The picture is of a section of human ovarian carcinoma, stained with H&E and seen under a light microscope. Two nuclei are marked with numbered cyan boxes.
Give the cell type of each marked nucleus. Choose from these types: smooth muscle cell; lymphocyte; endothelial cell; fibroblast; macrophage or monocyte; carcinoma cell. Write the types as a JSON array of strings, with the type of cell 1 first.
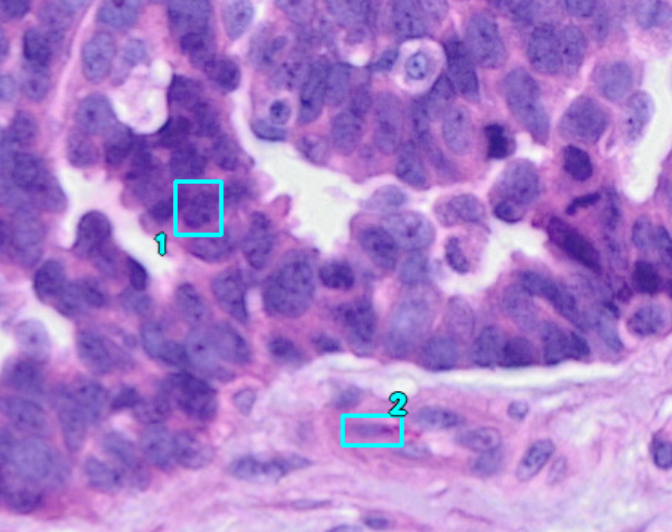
["carcinoma cell", "endothelial cell"]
